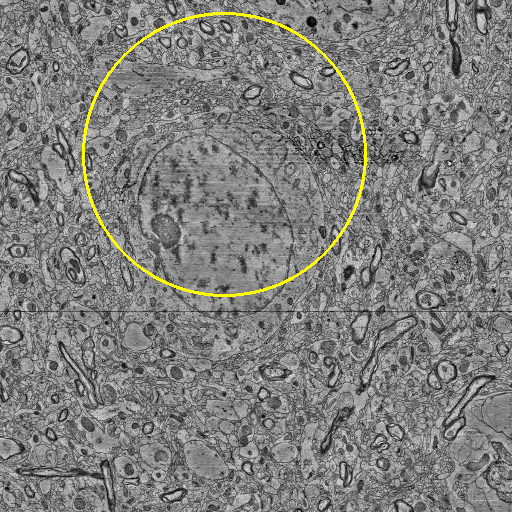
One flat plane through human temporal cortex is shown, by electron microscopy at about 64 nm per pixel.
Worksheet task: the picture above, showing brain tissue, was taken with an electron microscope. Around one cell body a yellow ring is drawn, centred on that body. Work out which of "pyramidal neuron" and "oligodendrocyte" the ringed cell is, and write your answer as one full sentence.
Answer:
It is a pyramidal neuron whose cell body lies at the centre of the yellow ring.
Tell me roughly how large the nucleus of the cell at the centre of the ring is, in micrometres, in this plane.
The nucleus comes to roughly 12 by 9 micrometres in this plane.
